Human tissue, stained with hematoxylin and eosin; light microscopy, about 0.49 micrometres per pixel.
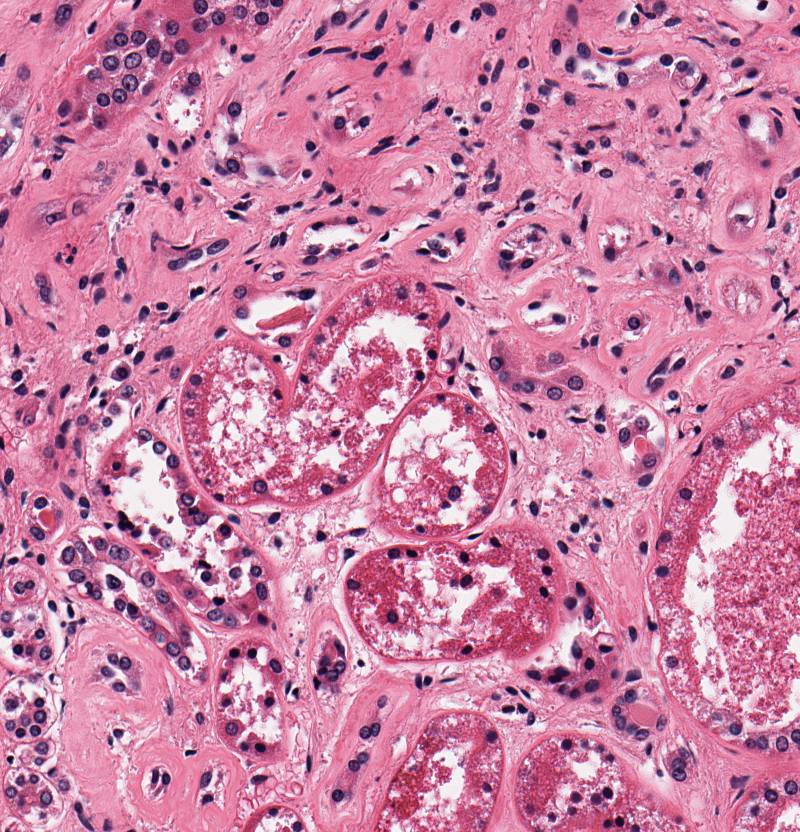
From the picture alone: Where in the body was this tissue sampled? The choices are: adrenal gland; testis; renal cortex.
renal cortex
